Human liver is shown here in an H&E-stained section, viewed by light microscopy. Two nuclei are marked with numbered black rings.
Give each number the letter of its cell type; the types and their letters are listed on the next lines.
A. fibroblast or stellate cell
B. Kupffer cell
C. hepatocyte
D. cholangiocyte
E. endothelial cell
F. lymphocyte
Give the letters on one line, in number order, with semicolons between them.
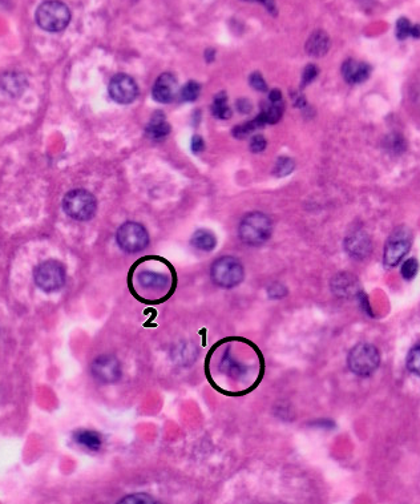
E; A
